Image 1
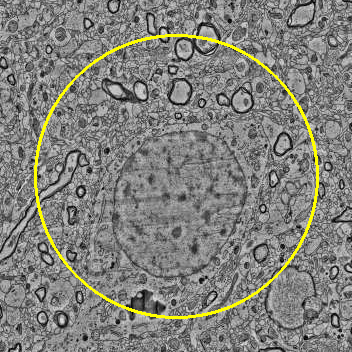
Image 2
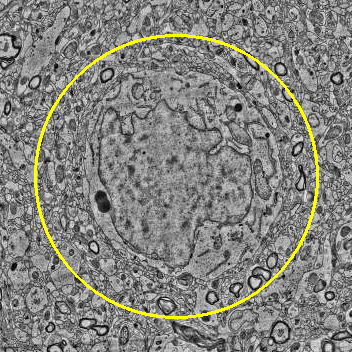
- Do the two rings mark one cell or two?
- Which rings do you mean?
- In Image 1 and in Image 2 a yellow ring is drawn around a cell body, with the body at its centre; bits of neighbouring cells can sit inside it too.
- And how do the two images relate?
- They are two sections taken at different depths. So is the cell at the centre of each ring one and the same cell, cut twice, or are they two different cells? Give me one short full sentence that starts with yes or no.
No, the rings surround different cells rather than one cell.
